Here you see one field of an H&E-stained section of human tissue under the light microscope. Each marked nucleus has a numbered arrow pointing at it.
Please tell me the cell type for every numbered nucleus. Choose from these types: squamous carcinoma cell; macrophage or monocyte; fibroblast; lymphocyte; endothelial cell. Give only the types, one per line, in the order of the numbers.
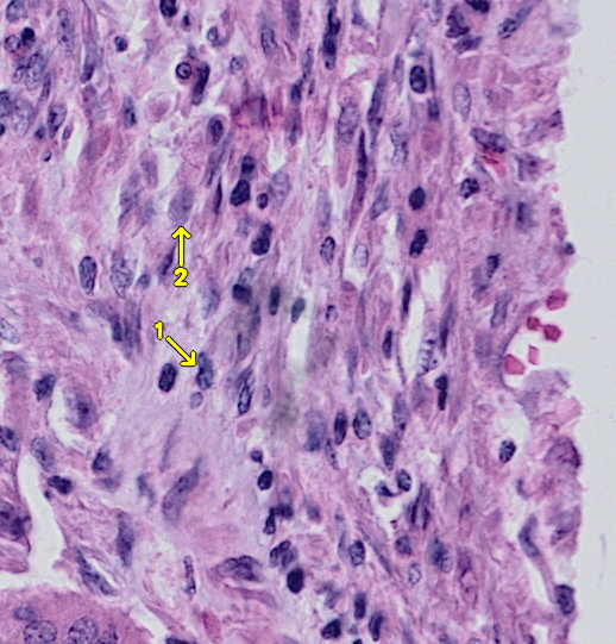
lymphocyte
fibroblast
